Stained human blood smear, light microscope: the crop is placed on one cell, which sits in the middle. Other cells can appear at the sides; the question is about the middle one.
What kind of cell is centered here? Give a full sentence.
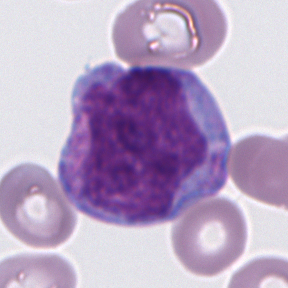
By type, the central cell of the crop is an atypical promyelocyte.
